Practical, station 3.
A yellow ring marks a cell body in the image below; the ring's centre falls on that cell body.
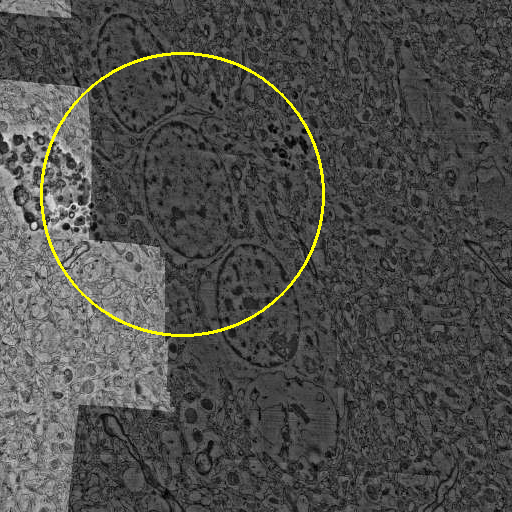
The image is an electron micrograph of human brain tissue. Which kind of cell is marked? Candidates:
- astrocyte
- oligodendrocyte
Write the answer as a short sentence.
The marked cell body is that of an astrocyte.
